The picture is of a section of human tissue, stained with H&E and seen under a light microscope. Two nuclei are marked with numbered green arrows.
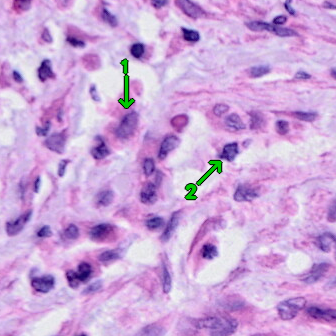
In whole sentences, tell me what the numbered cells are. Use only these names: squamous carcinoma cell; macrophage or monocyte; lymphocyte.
Cell 1 is a macrophage or monocyte and cell 2 is a lymphocyte.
